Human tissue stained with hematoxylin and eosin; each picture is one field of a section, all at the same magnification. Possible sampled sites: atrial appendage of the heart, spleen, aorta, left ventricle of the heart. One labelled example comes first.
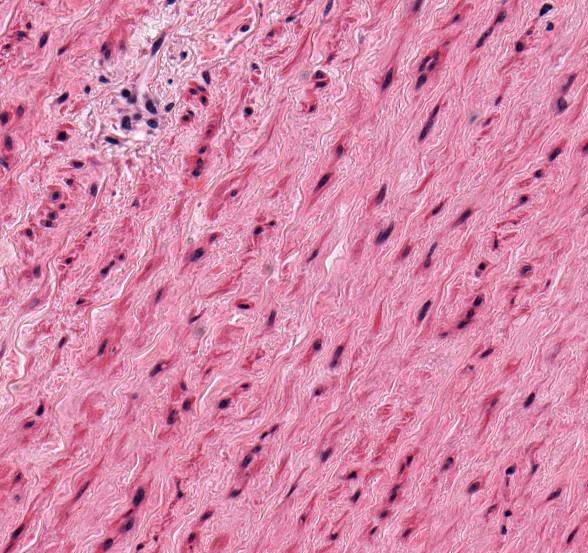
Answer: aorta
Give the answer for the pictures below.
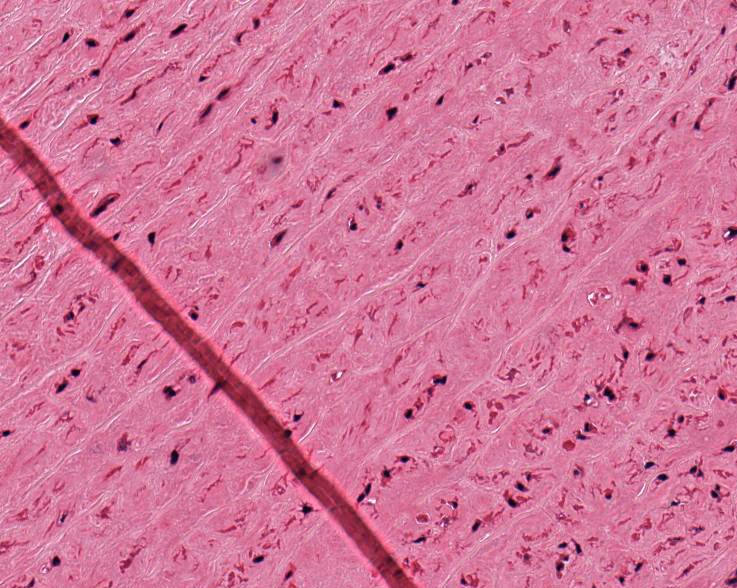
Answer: aorta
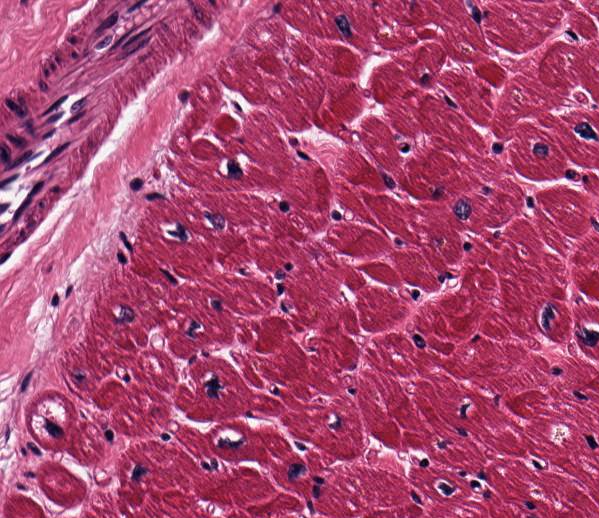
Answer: left ventricle of the heart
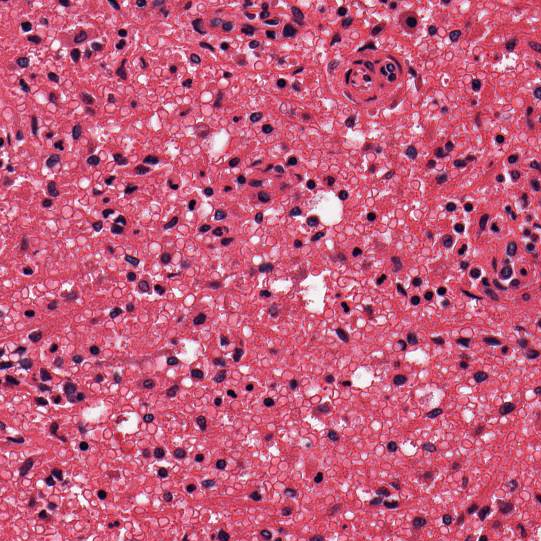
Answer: spleen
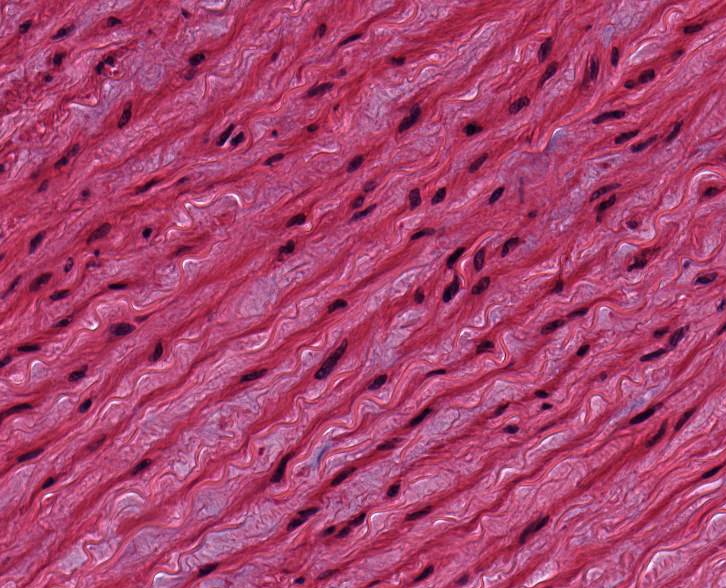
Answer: aorta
